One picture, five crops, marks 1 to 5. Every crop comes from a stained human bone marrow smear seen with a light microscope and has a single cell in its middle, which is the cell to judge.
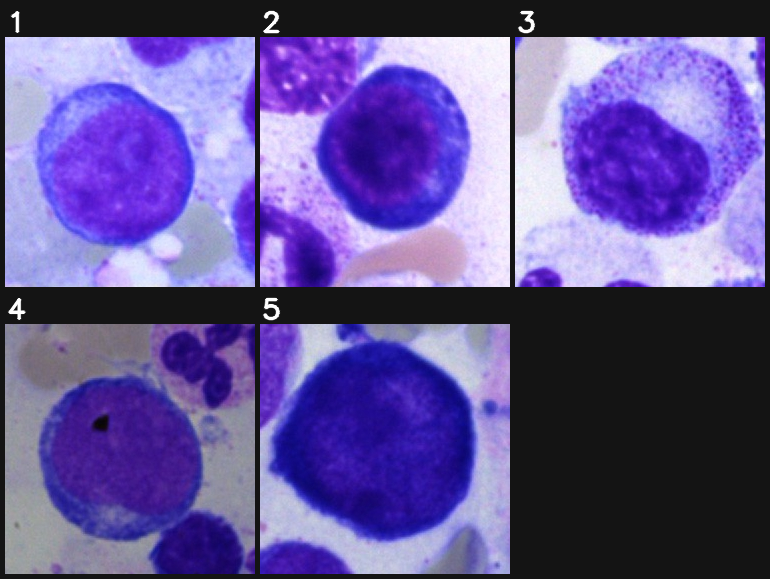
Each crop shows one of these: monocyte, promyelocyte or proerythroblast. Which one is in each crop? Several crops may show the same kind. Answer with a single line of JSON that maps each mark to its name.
{"1": "proerythroblast", "2": "proerythroblast", "3": "promyelocyte", "4": "proerythroblast", "5": "proerythroblast"}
